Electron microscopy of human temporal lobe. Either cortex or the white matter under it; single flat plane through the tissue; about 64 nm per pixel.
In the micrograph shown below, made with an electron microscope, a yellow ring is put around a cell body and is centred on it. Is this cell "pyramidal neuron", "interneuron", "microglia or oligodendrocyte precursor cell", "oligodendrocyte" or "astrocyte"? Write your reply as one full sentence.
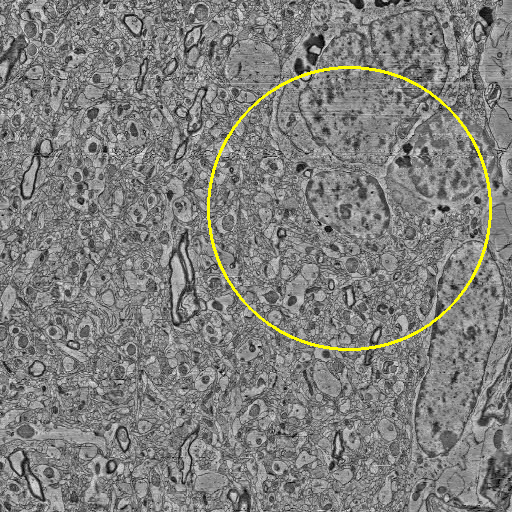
In the micrograph, a microglial cell or oligodendrocyte precursor cell is the cell at the centre of the yellow ring.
